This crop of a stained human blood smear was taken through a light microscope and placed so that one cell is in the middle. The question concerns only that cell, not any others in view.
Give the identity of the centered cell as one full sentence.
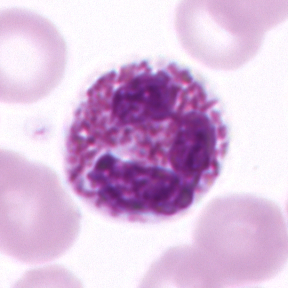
The identification for the central cell is an eosinophil.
